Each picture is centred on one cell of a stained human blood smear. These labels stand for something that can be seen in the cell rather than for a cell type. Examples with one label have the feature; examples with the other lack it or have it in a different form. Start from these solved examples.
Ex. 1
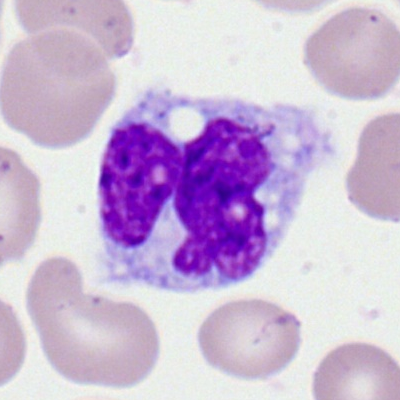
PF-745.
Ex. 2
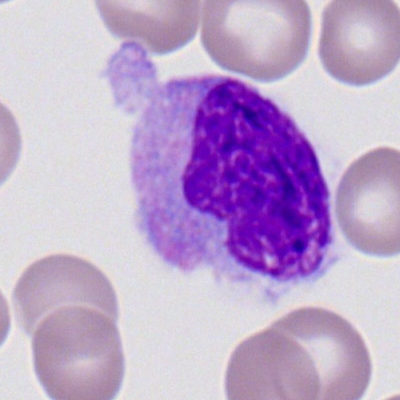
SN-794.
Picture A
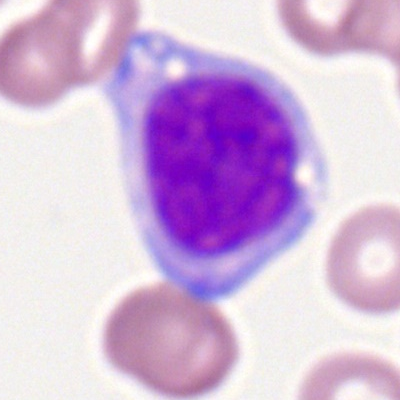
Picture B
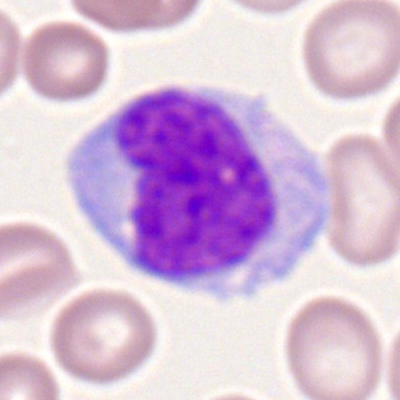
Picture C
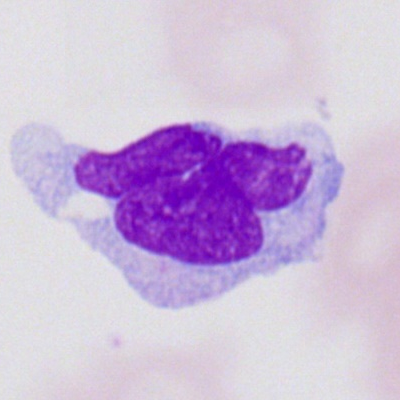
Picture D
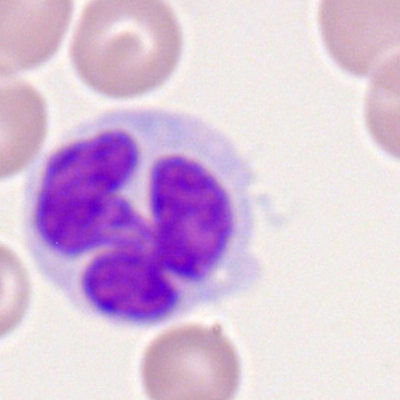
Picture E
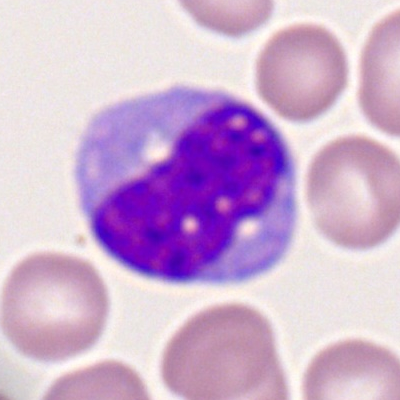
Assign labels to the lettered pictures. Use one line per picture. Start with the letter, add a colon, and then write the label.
A: SN-794.
B: SN-794.
C: PF-745.
D: PF-745.
E: PF-745.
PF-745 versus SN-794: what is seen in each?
In PF-745: lobed nucleus. In SN-794: single compact nucleus.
